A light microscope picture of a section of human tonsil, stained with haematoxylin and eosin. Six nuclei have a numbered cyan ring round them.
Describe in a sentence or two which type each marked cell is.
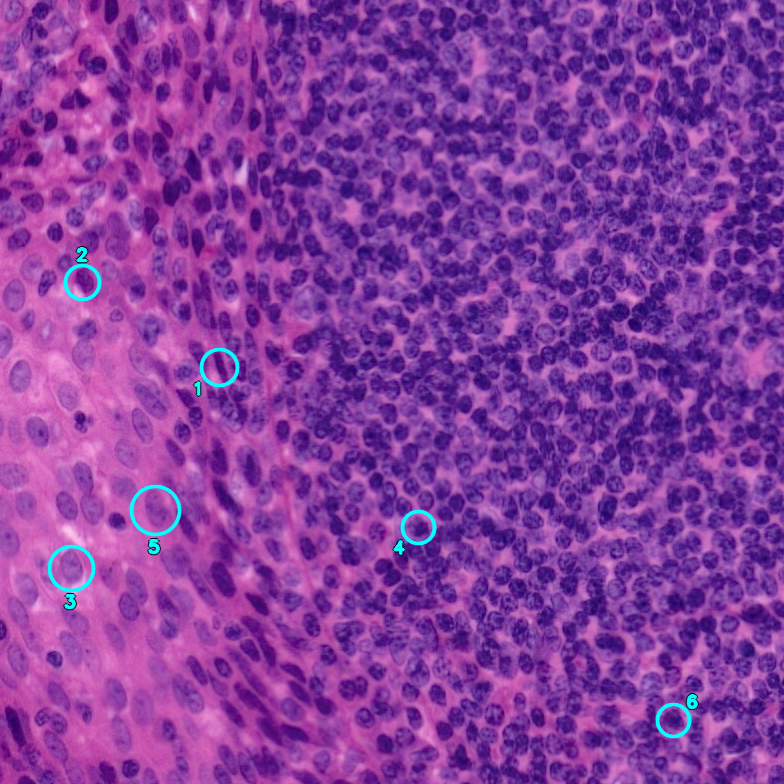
Cells 1, 2, 3 and 5 are squamous epithelial cells. Cells 4 and 6 are small lymphocytes.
